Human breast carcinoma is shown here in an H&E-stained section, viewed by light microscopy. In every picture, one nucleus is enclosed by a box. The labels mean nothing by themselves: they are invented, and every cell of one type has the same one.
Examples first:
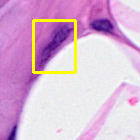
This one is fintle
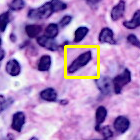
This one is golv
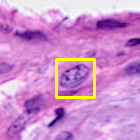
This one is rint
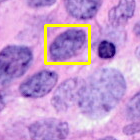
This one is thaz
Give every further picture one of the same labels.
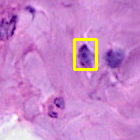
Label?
fintle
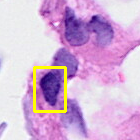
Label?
thaz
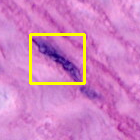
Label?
fintle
